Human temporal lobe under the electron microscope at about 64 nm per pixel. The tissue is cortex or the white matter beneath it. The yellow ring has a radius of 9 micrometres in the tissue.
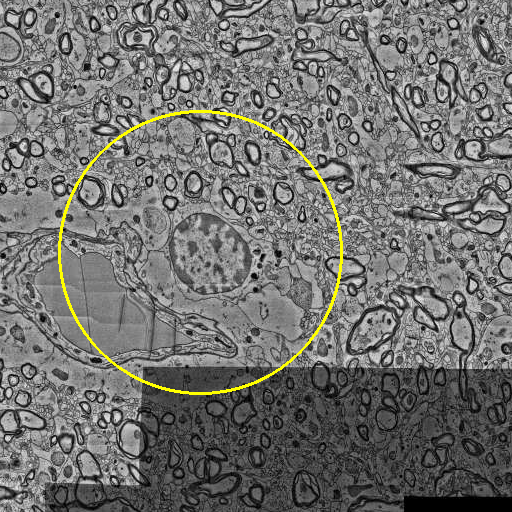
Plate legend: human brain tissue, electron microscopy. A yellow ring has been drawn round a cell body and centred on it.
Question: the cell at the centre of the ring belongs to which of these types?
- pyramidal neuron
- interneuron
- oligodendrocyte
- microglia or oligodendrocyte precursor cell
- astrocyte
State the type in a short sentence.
The cell in the middle of the ring is a microglial cell or oligodendrocyte precursor cell.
